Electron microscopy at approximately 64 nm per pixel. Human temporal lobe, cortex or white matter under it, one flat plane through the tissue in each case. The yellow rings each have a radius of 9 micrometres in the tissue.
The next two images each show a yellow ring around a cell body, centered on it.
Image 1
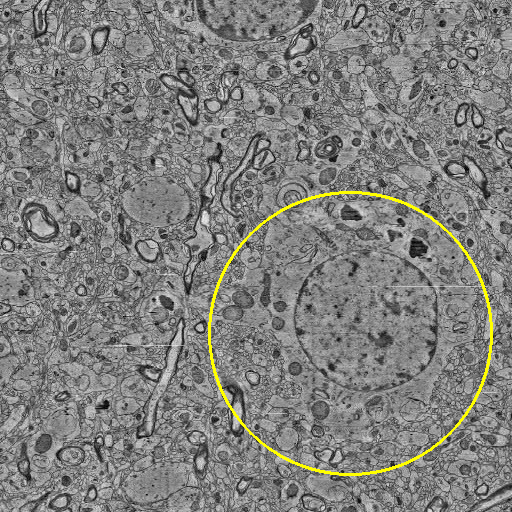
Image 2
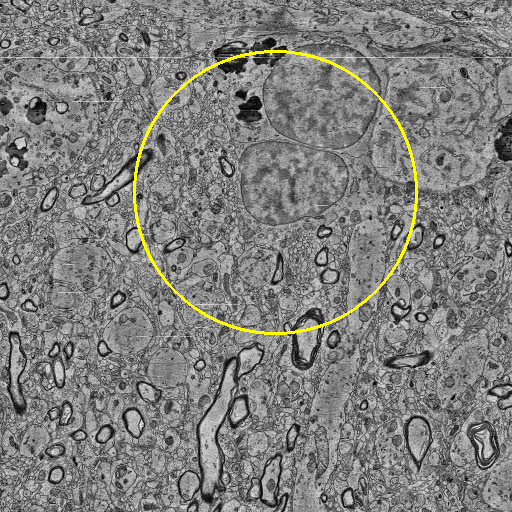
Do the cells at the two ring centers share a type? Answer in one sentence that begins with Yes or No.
No, across the two images the cells at the ring centers are of two types.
